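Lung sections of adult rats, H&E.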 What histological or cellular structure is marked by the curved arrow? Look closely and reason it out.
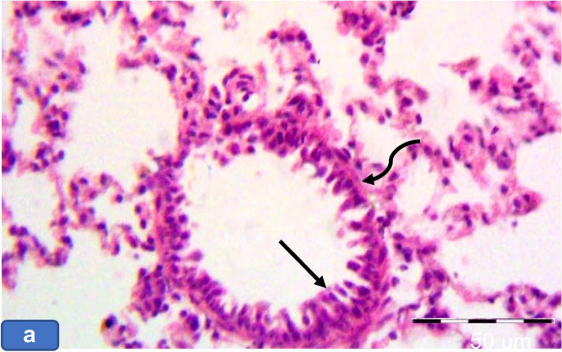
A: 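Thin muscle cell layer. A narrow band of pink tissue with flattened, elongated nuclei encircles the epithelium. The band lies between the epithelium and the surrounding alveolar walls.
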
